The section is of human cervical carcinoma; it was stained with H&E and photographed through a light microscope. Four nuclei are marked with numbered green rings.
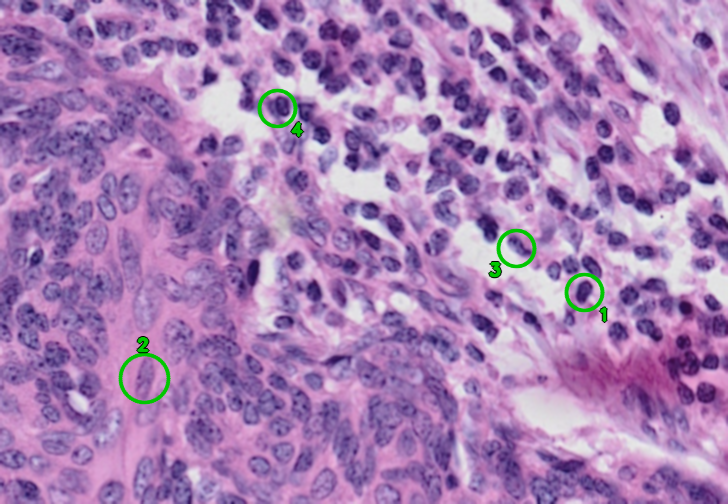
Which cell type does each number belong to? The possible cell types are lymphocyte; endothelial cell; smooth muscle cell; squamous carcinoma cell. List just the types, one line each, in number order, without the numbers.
lymphocyte
squamous carcinoma cell
lymphocyte
lymphocyte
